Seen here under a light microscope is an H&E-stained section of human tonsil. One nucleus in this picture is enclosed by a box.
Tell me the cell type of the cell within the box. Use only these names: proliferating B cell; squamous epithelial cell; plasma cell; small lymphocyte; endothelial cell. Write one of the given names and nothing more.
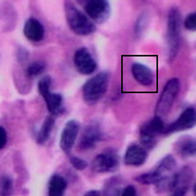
endothelial cell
